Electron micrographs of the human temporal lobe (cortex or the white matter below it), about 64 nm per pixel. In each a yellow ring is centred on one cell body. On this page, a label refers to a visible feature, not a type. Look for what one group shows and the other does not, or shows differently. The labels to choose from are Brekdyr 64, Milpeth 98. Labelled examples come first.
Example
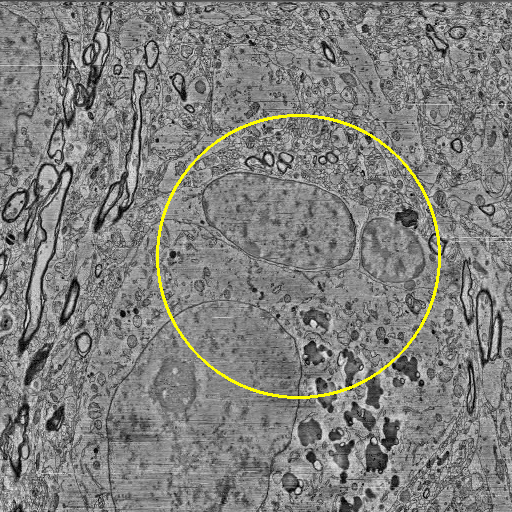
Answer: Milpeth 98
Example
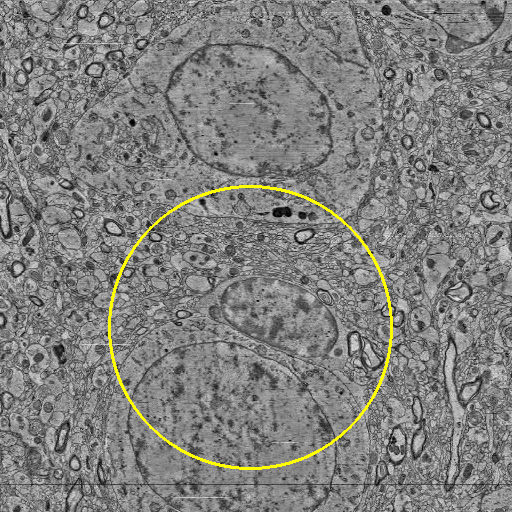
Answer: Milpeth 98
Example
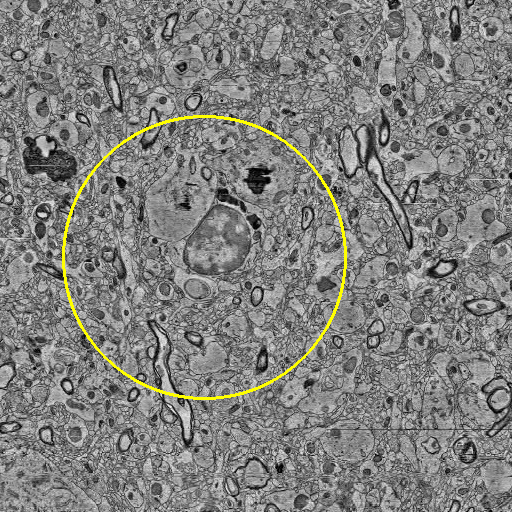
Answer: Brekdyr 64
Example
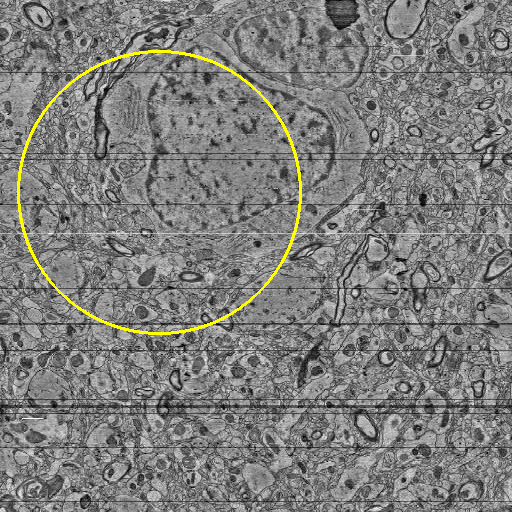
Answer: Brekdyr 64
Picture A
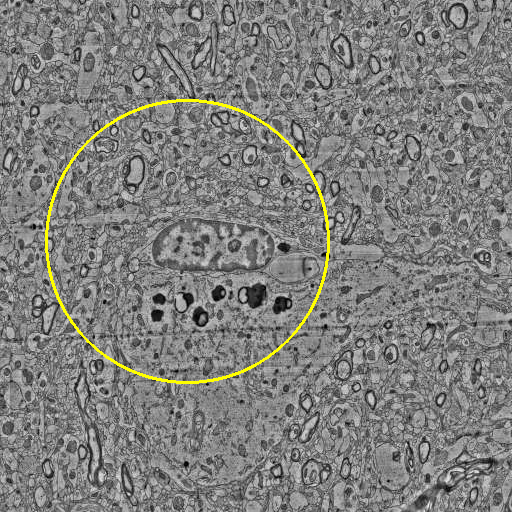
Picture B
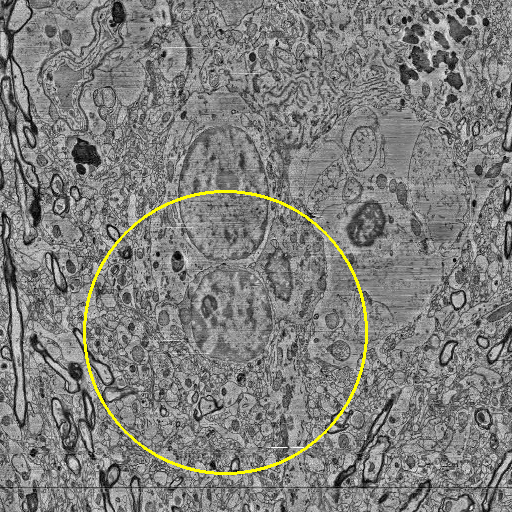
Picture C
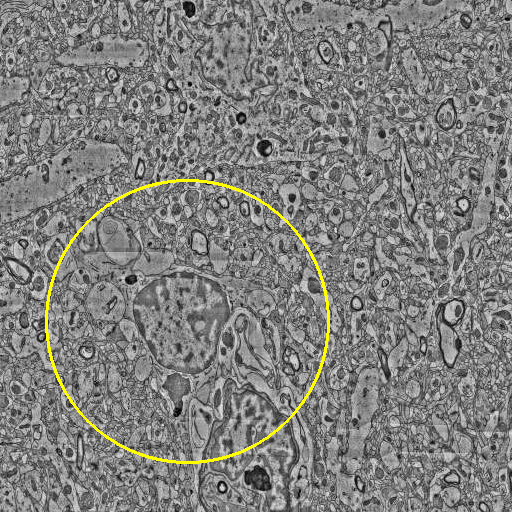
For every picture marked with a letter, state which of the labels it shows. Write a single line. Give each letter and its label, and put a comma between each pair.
A Milpeth 98, B Brekdyr 64, C Brekdyr 64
